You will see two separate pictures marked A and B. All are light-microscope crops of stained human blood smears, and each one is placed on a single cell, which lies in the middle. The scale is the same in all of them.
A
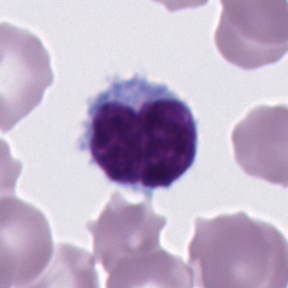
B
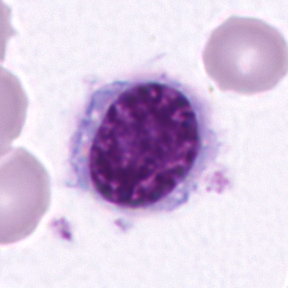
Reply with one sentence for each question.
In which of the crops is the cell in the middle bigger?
The cell in crop B is larger, with about 1.5 times the area of the one in crop A.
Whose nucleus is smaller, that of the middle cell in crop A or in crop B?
It is the nucleus in crop A; the one in crop B has about 1.5 times its area.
